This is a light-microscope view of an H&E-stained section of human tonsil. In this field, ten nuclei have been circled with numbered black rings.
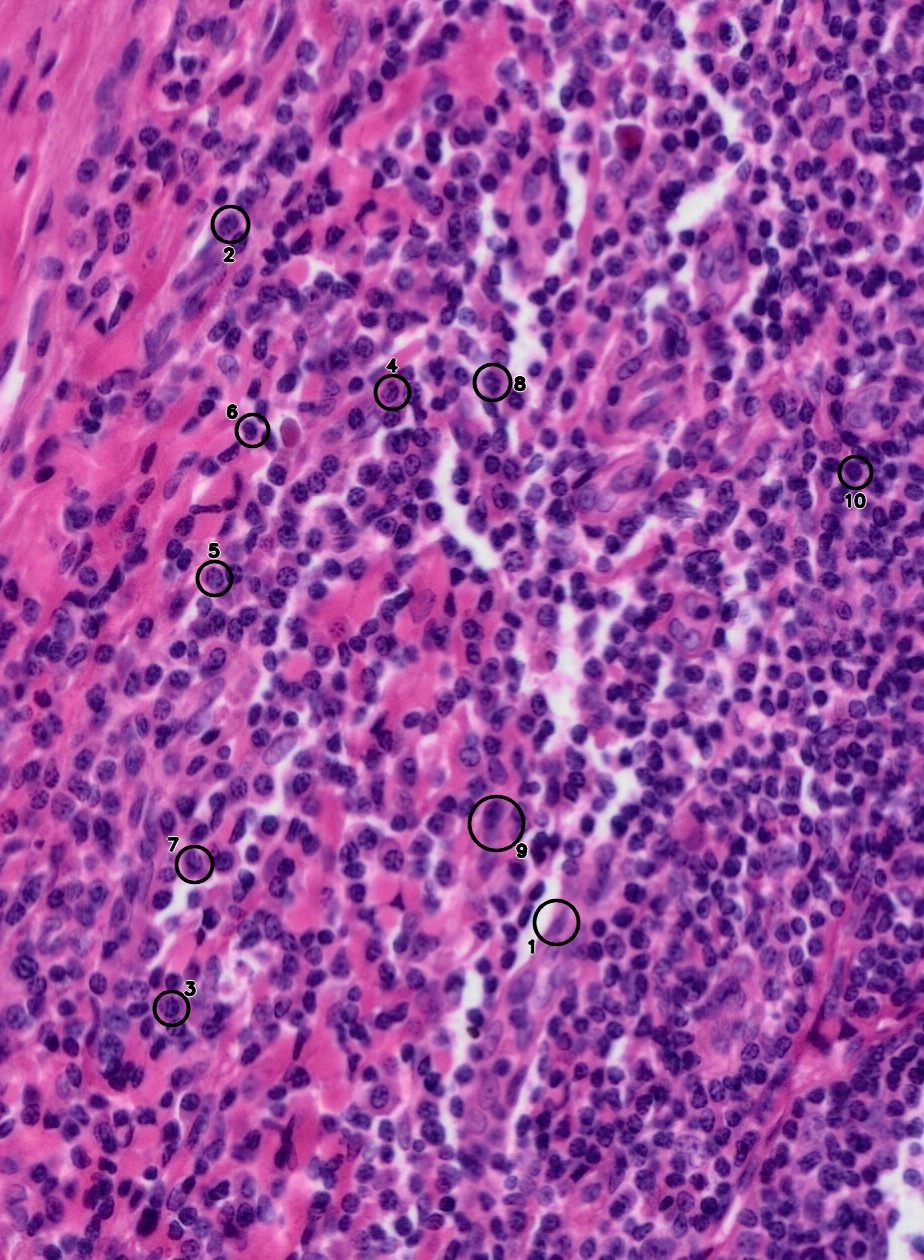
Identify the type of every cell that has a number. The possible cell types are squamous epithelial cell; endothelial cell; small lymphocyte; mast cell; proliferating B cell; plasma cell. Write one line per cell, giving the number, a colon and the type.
1: endothelial cell
2: plasma cell
3: plasma cell
4: plasma cell
5: plasma cell
6: mast cell
7: plasma cell
8: plasma cell
9: endothelial cell
10: small lymphocyte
